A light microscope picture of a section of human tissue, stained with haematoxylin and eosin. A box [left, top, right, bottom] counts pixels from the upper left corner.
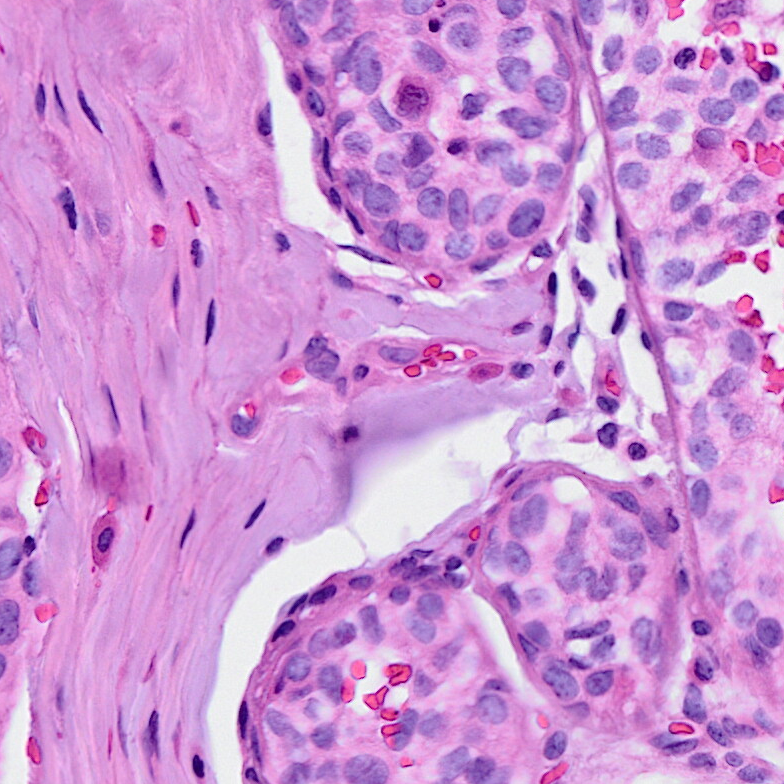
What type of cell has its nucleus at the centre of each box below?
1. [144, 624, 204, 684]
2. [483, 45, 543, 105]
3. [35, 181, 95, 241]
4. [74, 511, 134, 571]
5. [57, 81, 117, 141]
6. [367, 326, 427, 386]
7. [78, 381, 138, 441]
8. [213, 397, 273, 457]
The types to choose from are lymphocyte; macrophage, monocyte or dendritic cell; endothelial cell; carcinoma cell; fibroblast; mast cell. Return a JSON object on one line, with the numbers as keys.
{"1": "fibroblast", "2": "carcinoma cell", "3": "fibroblast", "4": "mast cell", "5": "fibroblast", "6": "endothelial cell", "7": "fibroblast", "8": "endothelial cell"}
